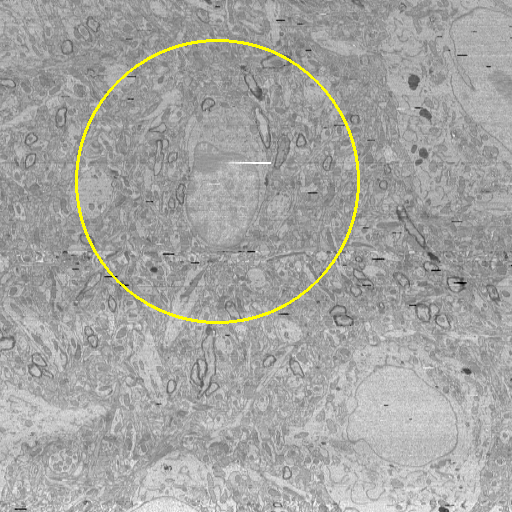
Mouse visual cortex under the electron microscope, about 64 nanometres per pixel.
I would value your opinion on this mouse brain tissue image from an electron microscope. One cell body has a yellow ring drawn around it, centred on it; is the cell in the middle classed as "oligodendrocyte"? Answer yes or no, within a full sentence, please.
Yes, I would class the cell in the middle of the ring as that kind.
